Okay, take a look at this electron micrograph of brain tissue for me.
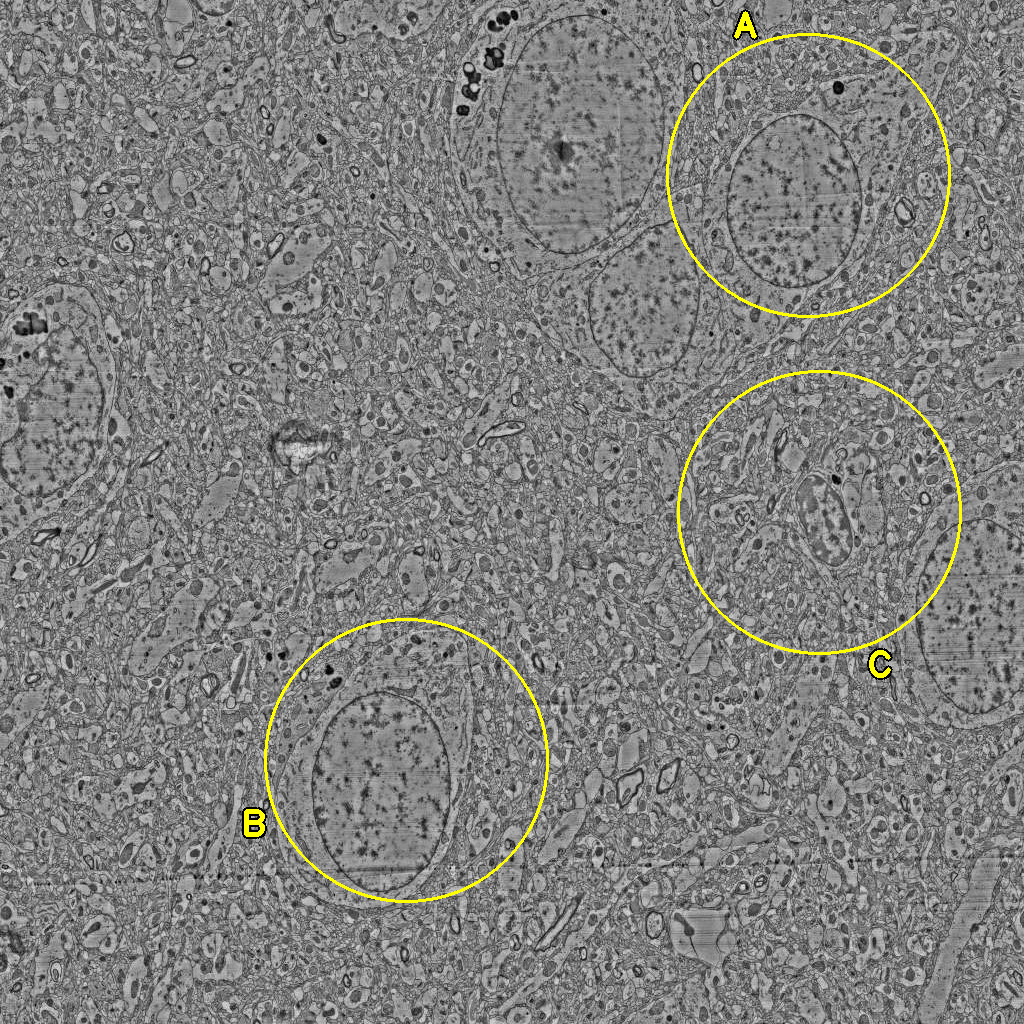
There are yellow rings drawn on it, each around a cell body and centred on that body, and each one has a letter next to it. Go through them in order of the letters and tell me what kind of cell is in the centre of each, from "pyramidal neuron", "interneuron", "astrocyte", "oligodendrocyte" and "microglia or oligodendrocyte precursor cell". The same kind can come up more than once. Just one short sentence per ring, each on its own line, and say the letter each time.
In the centre of ring A there's a pyramidal neuron.
In the centre of ring B there's a pyramidal neuron.
In the centre of ring C there's a microglial cell or oligodendrocyte precursor cell.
